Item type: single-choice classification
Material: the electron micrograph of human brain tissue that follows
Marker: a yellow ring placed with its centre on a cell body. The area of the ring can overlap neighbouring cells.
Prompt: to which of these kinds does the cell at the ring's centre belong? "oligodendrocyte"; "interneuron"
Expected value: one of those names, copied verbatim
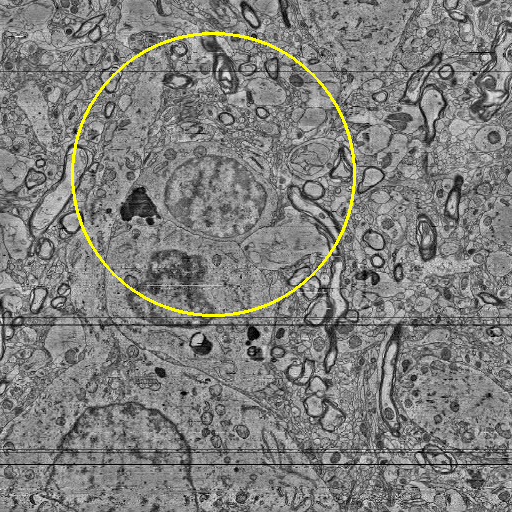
oligodendrocyte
